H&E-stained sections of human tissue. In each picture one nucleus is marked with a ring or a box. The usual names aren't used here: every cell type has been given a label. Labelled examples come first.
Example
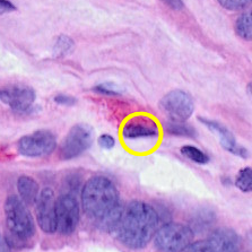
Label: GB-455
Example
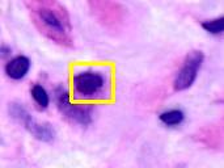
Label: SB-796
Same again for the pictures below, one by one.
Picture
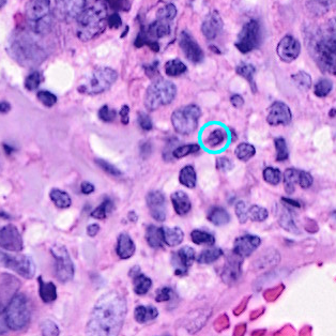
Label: SB-796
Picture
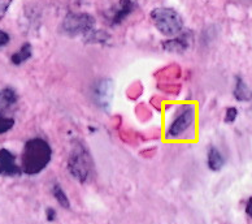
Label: GB-455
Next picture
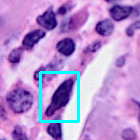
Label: SB-796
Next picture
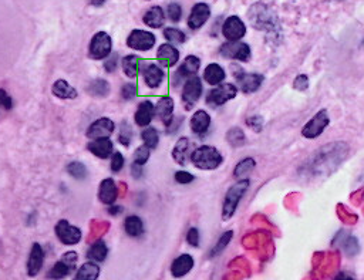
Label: SB-796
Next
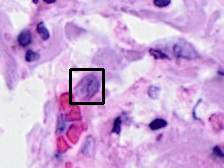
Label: GB-455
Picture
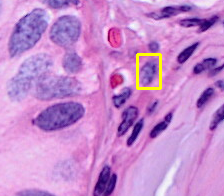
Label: GB-455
